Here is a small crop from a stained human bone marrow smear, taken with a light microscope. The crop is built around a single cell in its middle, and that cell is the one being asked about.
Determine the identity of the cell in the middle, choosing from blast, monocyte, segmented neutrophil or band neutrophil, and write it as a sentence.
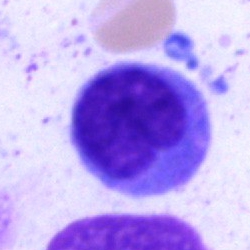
The crop shows a monocyte in its centre.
